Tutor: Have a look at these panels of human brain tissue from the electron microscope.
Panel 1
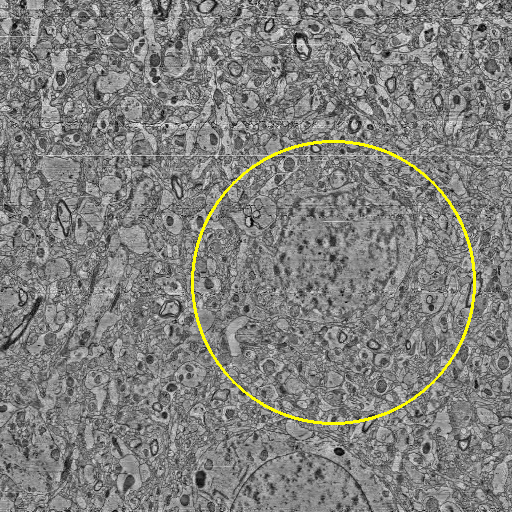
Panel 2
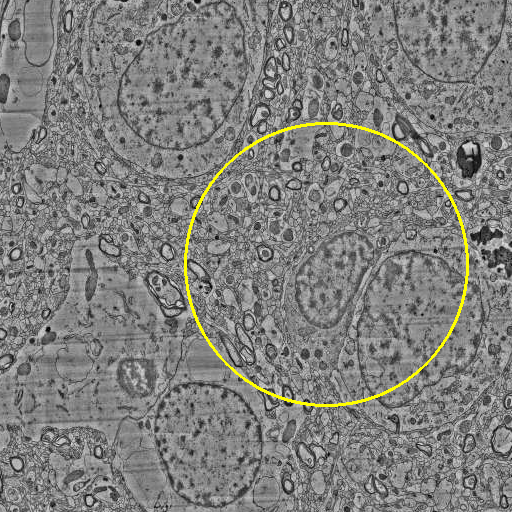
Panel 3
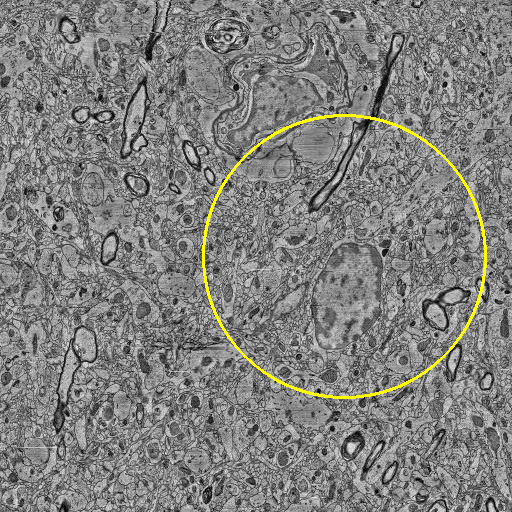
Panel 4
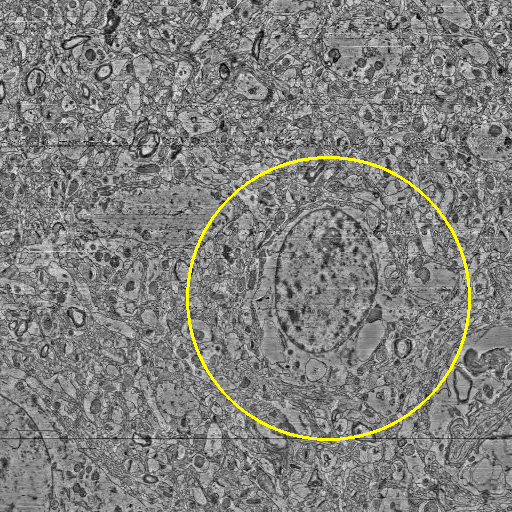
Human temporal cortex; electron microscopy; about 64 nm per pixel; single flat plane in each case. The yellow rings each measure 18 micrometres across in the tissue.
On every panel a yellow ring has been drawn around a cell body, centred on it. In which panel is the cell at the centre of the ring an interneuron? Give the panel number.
1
